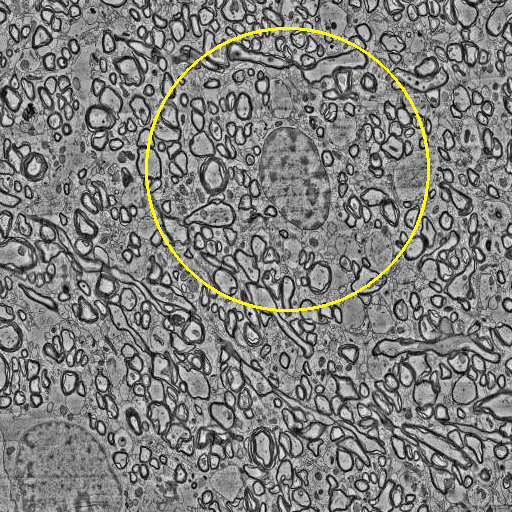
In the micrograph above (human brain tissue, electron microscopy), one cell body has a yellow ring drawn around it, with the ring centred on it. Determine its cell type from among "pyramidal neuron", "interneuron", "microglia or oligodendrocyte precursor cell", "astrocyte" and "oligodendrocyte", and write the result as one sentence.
The cell whose body is ringed is a microglial cell or oligodendrocyte precursor cell.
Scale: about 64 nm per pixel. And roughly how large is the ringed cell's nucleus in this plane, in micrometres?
In this plane, about 7 micrometres in length and 4 in width.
